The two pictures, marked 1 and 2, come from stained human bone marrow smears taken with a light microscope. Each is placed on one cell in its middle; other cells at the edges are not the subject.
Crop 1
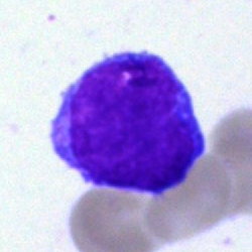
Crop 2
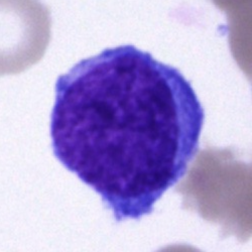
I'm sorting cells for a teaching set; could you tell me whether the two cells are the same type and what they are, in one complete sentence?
Yes, in both crops, blasts are the cells at the middle.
